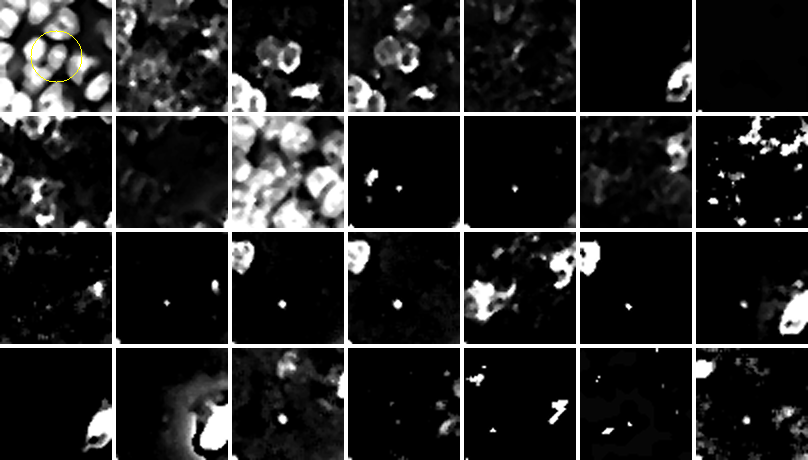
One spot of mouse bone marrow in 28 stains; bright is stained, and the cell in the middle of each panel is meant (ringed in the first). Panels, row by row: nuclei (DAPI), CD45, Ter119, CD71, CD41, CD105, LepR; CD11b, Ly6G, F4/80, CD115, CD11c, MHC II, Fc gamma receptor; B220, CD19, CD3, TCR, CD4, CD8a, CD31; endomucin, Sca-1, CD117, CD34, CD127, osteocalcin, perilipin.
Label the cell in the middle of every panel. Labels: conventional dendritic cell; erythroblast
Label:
erythroblast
